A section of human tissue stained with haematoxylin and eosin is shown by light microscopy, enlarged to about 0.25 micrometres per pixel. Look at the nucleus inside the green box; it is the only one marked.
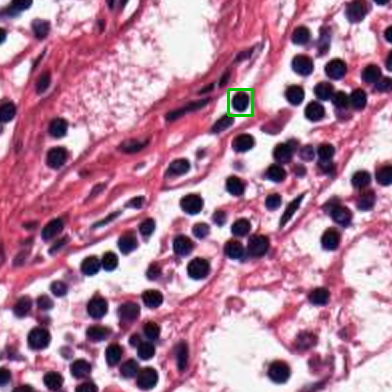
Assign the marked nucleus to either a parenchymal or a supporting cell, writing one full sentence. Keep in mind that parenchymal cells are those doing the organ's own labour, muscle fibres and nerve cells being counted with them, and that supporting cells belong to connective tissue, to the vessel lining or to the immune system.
Housed within a supporting cell is the marked nucleus.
